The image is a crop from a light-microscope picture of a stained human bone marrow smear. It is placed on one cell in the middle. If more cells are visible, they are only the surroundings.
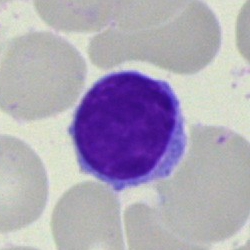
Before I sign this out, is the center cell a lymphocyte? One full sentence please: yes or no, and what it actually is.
Yes, the cell occupying the center is a lymphocyte.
